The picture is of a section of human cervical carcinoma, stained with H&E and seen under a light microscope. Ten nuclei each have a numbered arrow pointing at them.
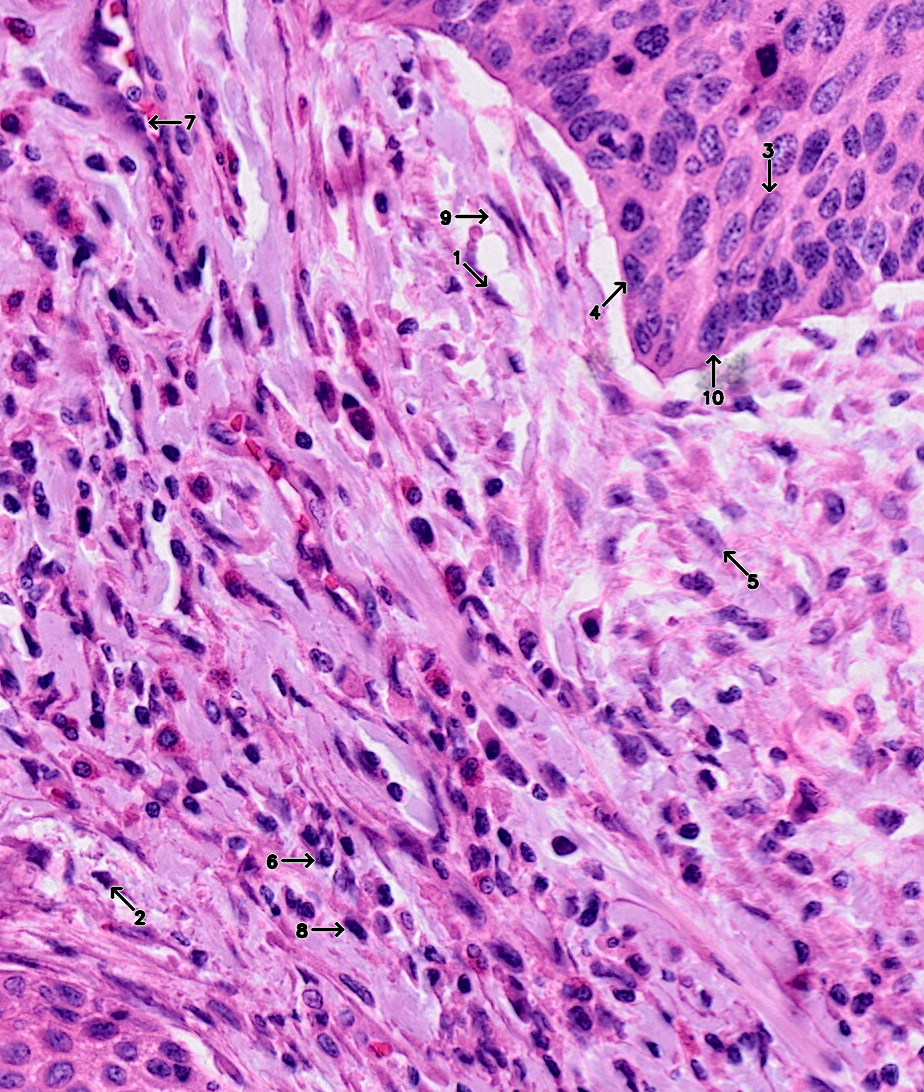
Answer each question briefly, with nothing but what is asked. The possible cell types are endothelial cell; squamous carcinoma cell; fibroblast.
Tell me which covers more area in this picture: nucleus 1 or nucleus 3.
3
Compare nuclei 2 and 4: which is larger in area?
4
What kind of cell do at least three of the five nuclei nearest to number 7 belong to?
endothelial cell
